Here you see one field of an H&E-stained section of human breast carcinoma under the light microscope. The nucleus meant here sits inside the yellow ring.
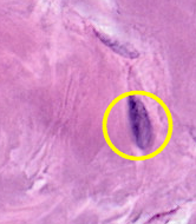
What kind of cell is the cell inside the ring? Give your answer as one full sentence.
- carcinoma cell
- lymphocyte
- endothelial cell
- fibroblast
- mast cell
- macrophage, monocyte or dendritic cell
Microscopically, the cell inside the ring is categorized as a fibroblast.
